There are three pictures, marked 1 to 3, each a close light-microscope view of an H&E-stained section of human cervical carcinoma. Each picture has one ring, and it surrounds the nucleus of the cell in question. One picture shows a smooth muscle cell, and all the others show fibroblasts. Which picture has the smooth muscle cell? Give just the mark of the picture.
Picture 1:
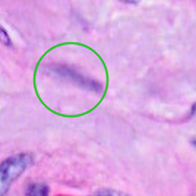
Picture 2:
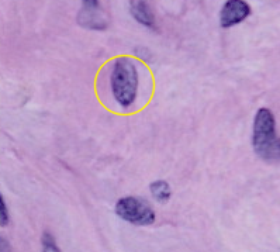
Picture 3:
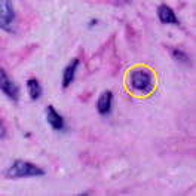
3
